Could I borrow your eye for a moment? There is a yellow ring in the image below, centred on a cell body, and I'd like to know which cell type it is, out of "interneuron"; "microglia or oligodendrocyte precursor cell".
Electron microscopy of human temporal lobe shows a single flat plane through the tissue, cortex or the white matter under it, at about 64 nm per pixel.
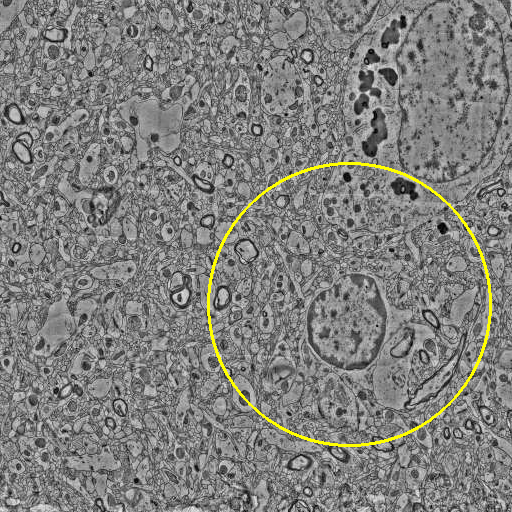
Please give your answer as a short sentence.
The cell body at the centre is that of a microglial cell or oligodendrocyte precursor cell.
